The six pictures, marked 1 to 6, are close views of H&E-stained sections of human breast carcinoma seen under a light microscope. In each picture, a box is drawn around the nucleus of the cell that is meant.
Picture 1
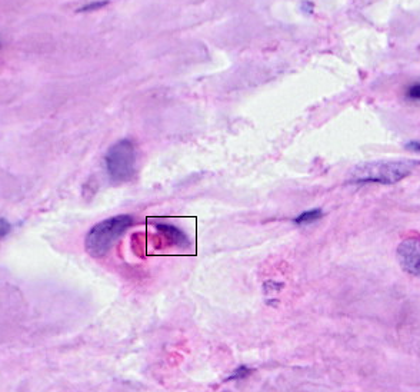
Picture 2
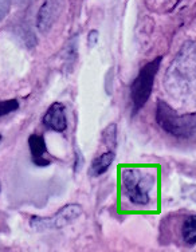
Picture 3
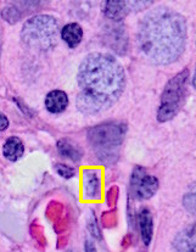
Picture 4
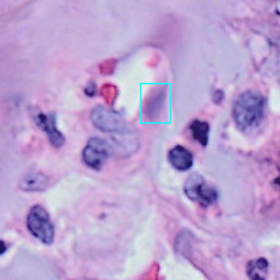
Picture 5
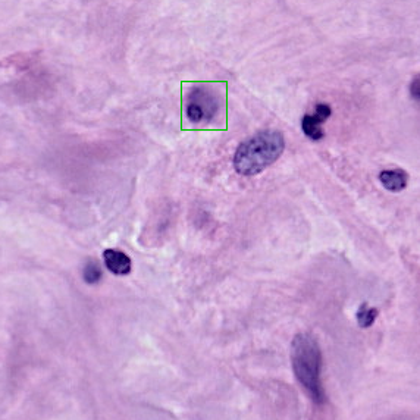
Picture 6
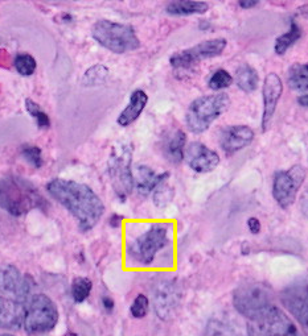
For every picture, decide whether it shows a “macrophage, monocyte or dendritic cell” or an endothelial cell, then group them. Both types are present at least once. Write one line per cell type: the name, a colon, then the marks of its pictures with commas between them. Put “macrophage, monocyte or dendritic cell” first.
macrophage, monocyte or dendritic cell: 2, 5, 6
endothelial cell: 1, 3, 4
